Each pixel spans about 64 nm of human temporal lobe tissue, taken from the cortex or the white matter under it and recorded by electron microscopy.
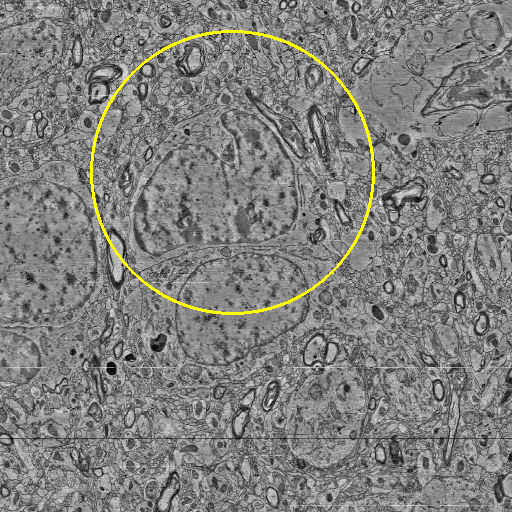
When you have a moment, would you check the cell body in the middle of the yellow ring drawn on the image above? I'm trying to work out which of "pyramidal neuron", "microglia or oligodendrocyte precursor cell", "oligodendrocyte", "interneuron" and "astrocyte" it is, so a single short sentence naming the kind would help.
This cell body belongs to a microglial cell or oligodendrocyte precursor cell.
